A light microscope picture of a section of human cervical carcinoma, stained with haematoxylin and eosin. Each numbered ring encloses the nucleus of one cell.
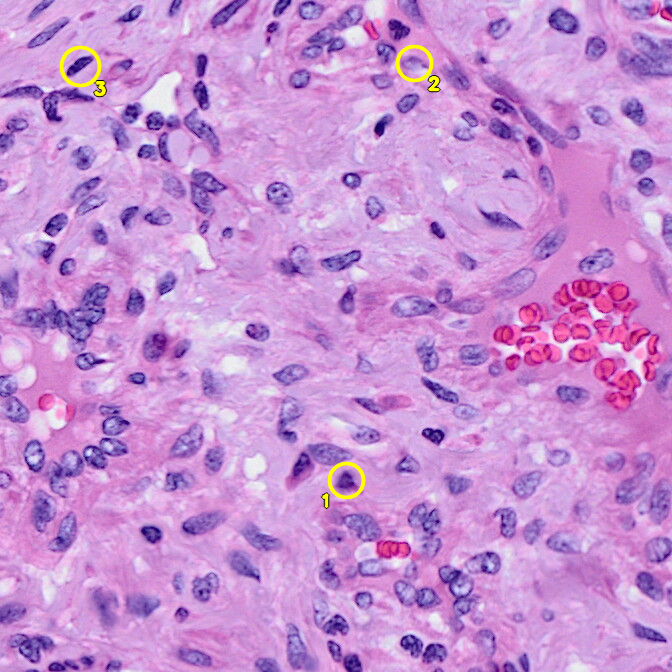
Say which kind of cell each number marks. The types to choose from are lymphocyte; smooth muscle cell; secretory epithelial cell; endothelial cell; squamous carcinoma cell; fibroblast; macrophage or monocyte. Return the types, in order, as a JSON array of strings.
["lymphocyte", "endothelial cell", "lymphocyte"]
